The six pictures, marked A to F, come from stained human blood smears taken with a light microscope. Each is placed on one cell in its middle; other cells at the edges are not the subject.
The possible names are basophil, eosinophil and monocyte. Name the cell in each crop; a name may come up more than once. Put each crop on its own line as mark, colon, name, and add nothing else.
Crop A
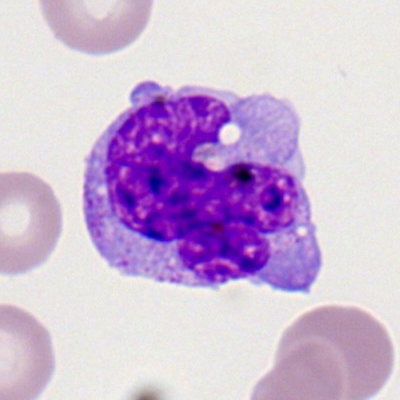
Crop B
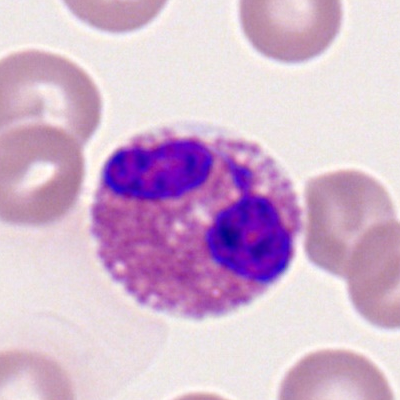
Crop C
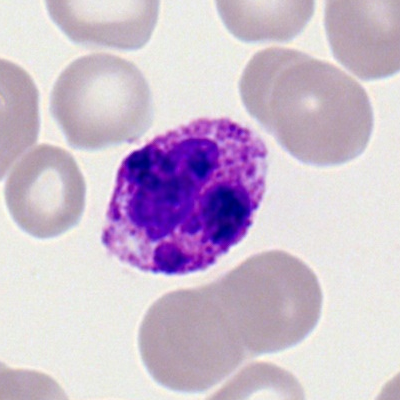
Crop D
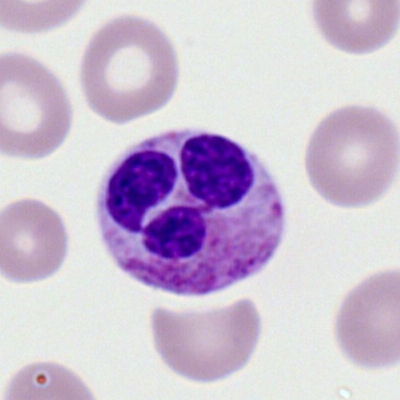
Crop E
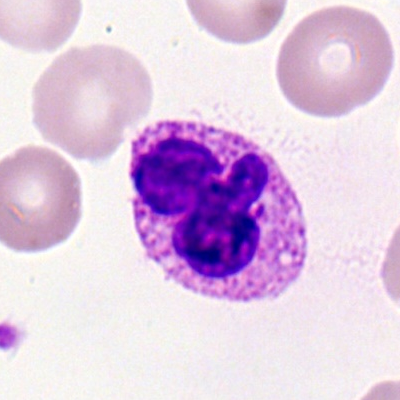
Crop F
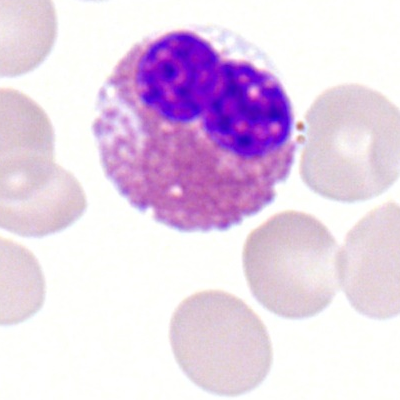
A: monocyte
B: eosinophil
C: basophil
D: eosinophil
E: basophil
F: eosinophil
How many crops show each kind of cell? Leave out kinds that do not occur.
eosinophil: 3
basophil: 2
monocyte: 1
